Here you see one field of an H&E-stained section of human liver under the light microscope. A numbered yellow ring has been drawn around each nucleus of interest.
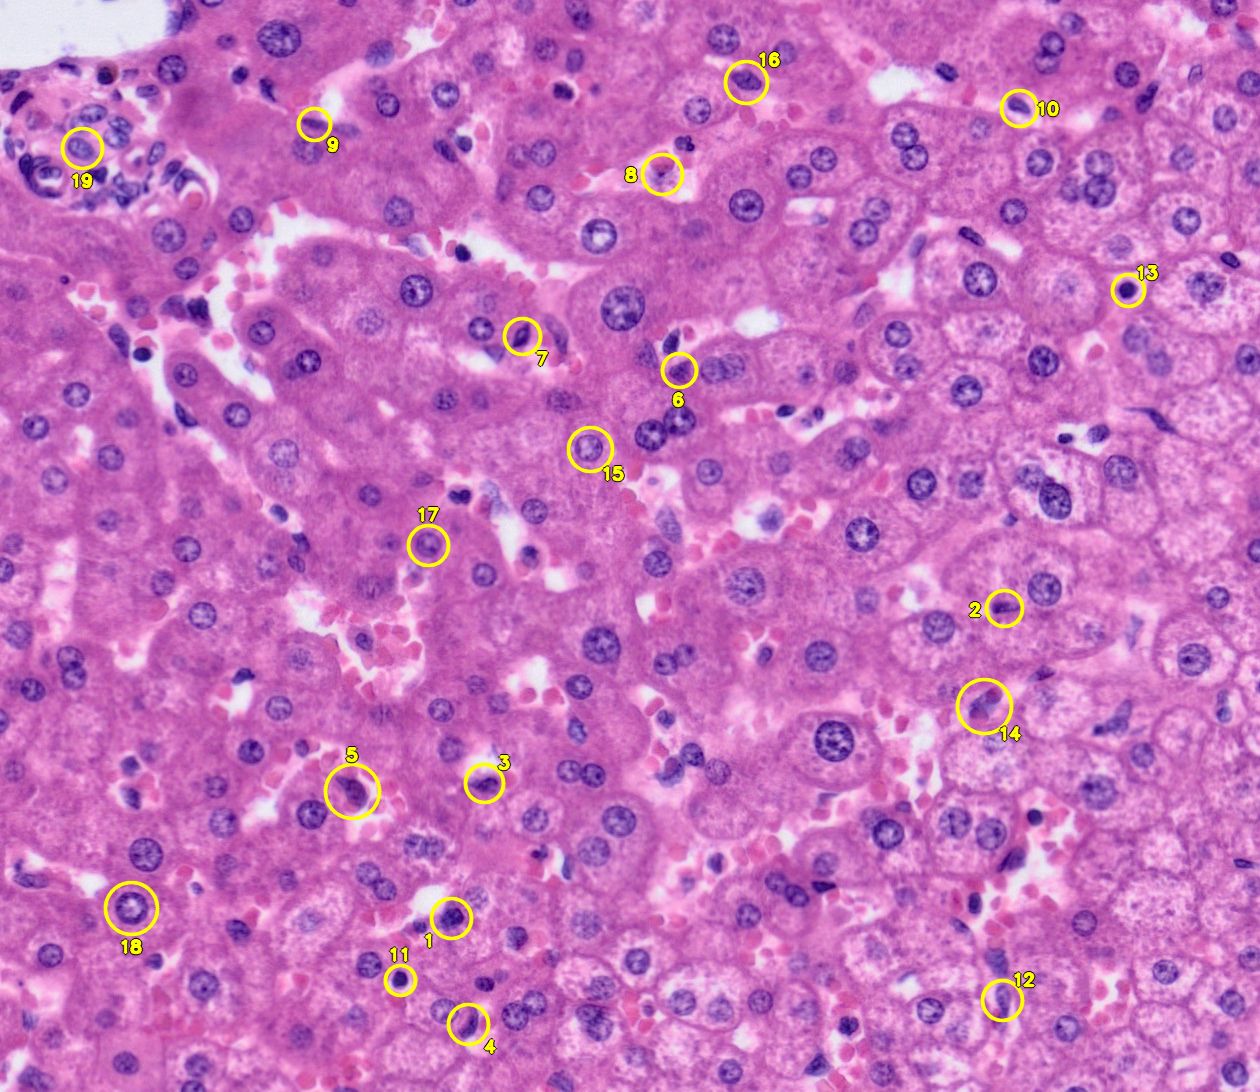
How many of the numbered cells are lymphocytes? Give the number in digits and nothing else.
3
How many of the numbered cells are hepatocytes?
3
